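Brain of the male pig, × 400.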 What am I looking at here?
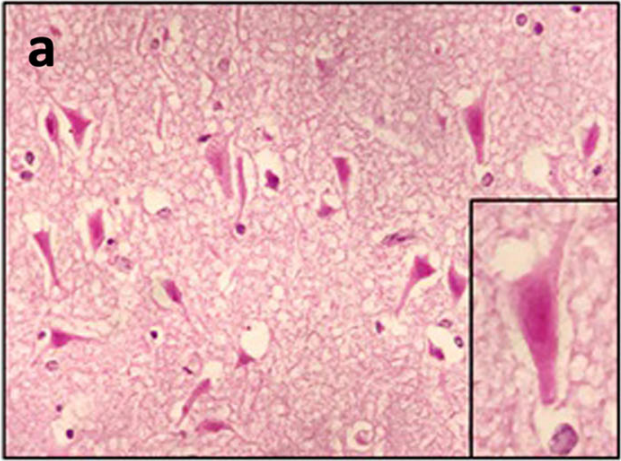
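Cerebral cortex with many shrunken, angular neurons whose cytoplasm stains intensely pink. Their nuclei are small, dark or hardly seen within the dense cytoplasm. Several neurons keep a tapering apical process, giving a triangular outline, as the inset shows at higher magnification. Clear spaces surround many of these neurons. The neuropil between them is finely vacuolated, with scattered small glial nuclei.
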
